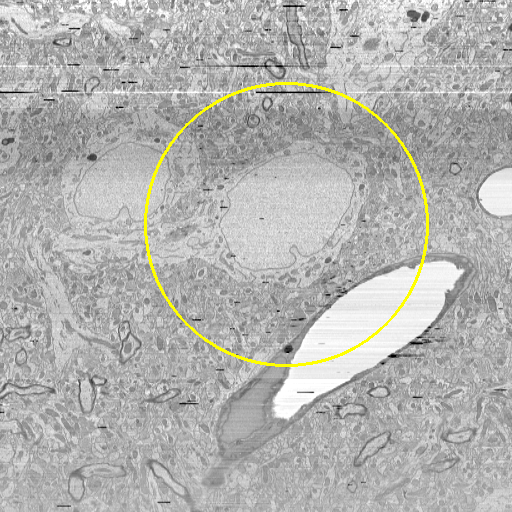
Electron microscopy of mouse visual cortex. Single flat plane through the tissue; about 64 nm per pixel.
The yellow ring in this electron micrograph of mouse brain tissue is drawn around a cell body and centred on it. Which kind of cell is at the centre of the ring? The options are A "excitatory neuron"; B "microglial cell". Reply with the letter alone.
A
